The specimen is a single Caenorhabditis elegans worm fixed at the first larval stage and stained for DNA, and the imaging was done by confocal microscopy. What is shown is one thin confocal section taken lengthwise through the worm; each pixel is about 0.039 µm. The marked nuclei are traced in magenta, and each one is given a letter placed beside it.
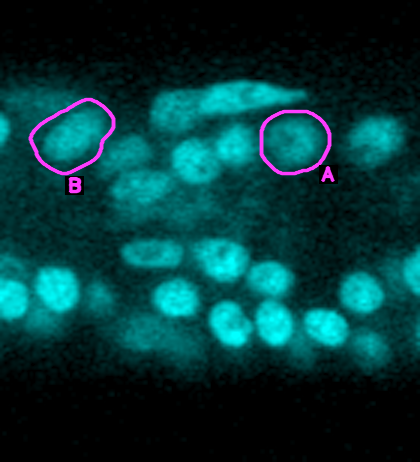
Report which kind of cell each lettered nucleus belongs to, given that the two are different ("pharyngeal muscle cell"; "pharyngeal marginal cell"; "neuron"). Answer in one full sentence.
B belongs to a neuron, and A to a pharyngeal muscle cell.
